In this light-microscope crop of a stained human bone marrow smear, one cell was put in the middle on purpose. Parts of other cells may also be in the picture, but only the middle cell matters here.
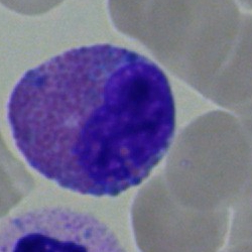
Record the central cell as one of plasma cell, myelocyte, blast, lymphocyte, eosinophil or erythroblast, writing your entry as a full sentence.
The cell occupying the middle of the crop is an eosinophil.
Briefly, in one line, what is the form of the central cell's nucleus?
The nucleus amounts to one compact mass with a round, oval or kidney-shaped outline.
